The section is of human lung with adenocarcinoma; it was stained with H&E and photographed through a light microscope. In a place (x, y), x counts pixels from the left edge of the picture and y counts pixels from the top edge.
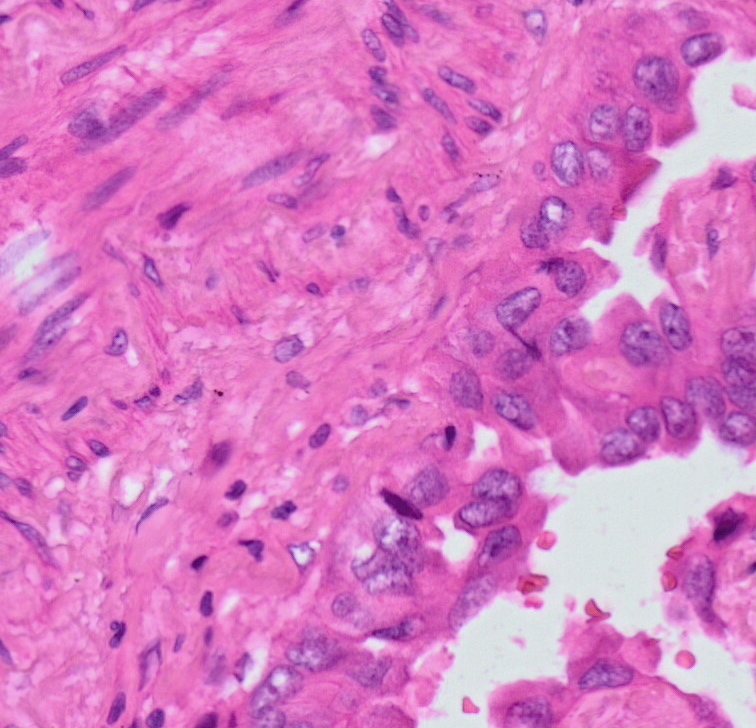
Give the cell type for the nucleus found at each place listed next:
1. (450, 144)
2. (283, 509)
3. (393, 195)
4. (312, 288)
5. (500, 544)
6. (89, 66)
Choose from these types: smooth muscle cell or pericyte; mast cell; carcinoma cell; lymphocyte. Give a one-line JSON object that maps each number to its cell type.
{"1": "smooth muscle cell or pericyte", "2": "lymphocyte", "3": "smooth muscle cell or pericyte", "4": "smooth muscle cell or pericyte", "5": "carcinoma cell", "6": "smooth muscle cell or pericyte"}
